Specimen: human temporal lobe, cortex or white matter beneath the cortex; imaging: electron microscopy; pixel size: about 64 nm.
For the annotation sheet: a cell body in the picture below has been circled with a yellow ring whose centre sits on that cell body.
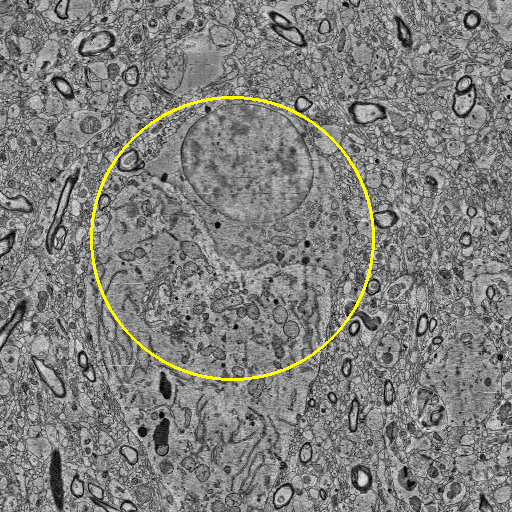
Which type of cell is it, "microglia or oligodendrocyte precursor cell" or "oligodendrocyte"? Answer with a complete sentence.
The circled cell is an oligodendrocyte.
